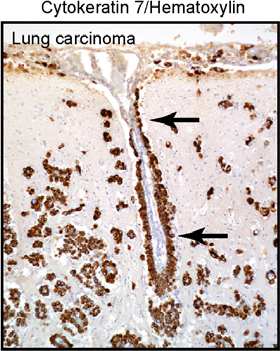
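A vessel runs down from the brain surface deep into the pale, finely textured tissue, and its wall is cuffed along its length by brown-stained tumour cells. Around it, many small brown clusters and single brown cells lie scattered through the tissue, some as compact nests, others as strands. The background brain tissue is pale with small, blue-stained nuclei. At the surface a thin brown-stained band lines the edge.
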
